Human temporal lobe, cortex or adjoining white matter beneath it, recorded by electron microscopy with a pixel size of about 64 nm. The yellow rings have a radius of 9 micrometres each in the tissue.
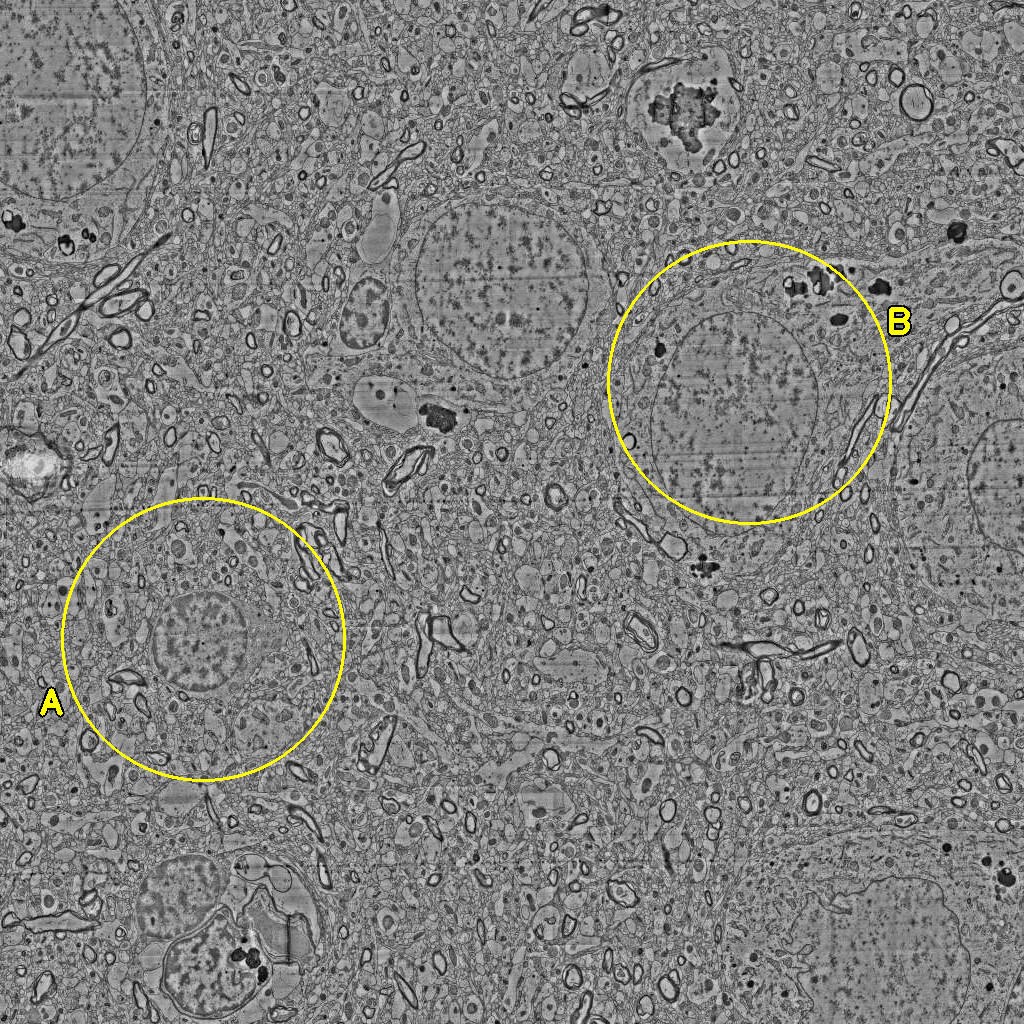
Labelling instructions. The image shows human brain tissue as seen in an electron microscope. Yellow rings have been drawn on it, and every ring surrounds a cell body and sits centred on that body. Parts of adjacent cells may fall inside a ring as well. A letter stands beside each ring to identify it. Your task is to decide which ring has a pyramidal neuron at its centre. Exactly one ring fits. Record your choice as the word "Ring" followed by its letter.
Ring B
